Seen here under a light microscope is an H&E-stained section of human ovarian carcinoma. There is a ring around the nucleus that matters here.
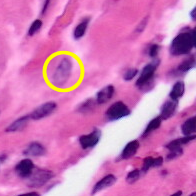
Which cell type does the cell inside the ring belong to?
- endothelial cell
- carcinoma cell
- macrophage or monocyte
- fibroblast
fibroblast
